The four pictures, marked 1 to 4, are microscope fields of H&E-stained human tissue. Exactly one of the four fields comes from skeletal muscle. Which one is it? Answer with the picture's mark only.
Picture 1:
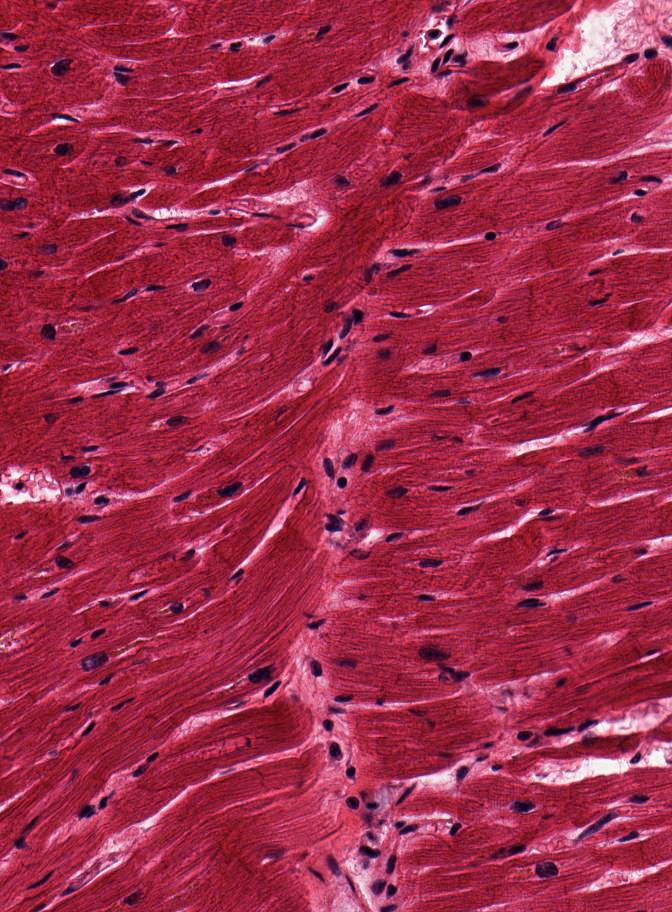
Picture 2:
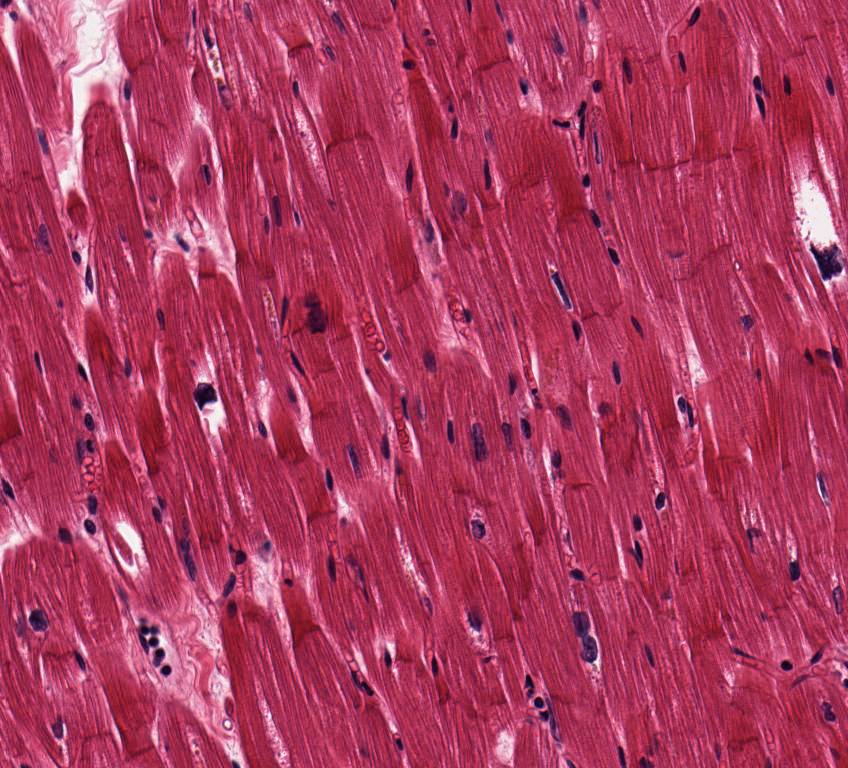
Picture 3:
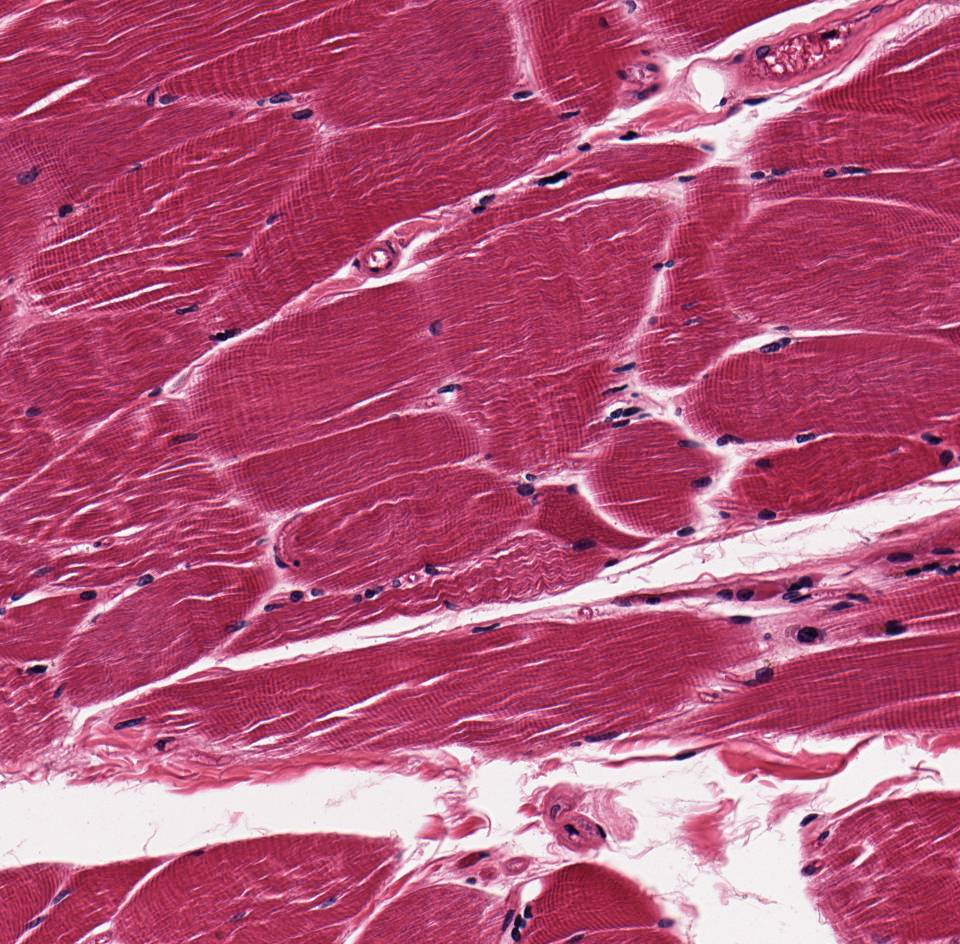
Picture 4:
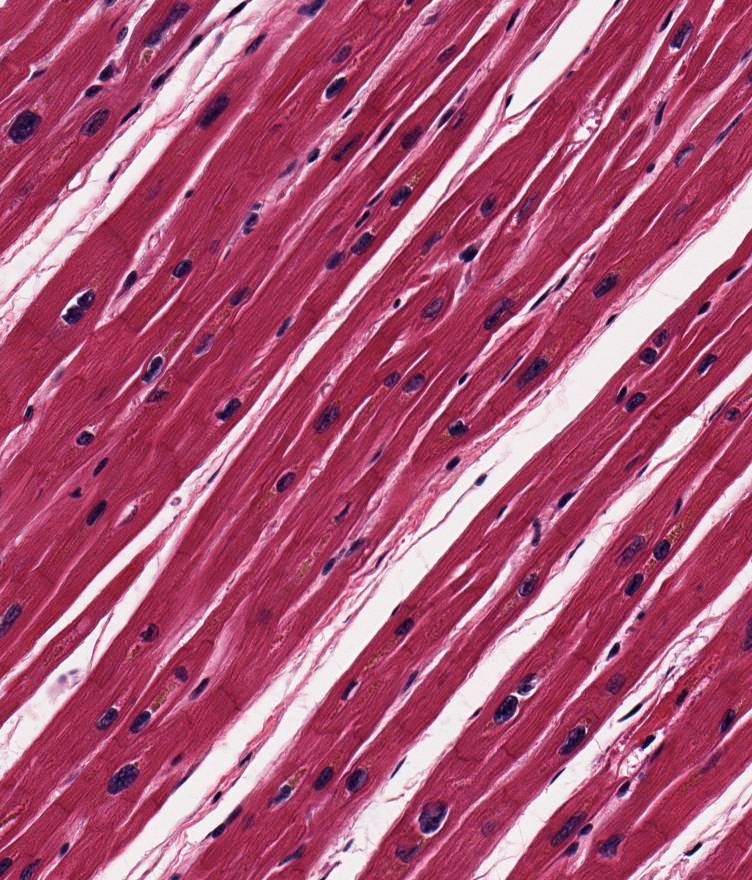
3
